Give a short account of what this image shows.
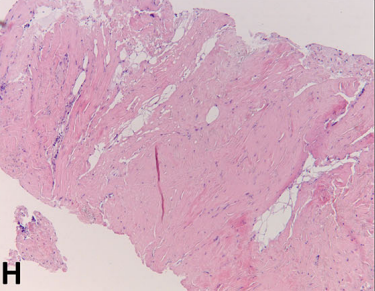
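Biopsy core, hematoxylin and eosin, made up of fibrotic tissue. Nuclei are few and scattered, mostly small and elongated. Narrow clear clefts separate some of the bundles. A small detached fragment lies at the lower left.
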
